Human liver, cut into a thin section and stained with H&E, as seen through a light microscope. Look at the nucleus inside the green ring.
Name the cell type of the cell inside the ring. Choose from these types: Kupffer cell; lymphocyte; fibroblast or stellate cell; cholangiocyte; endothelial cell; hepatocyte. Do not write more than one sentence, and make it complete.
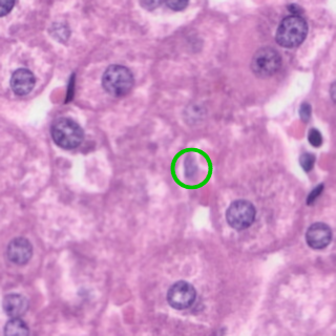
As classified here, the cell inside the ring is a Kupffer cell.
